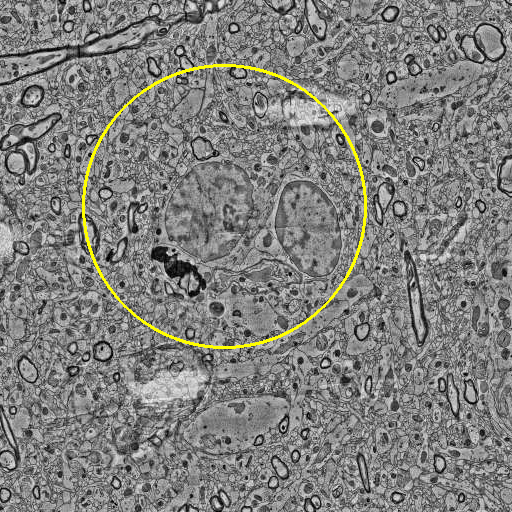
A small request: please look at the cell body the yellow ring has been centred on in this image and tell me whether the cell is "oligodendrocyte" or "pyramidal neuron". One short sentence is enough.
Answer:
The cell marked by the ring is an oligodendrocyte.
